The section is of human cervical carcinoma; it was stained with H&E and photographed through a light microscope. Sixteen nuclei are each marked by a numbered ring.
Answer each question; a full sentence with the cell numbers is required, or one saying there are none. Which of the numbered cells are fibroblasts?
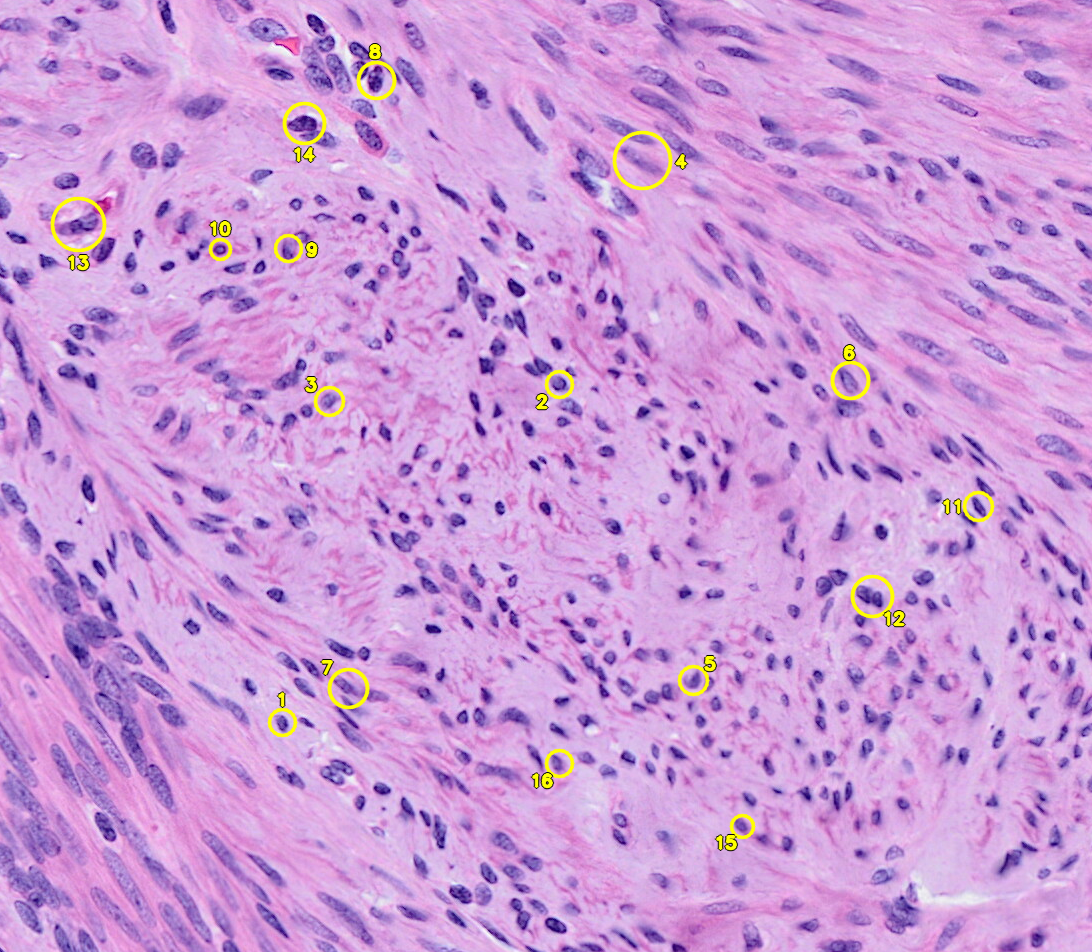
Regarding the numbered cells 1, 2, 11 and 12, these are fibroblasts.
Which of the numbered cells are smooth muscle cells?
On this slide, the cells numbered 3, 4, 5, 6, 7, 9, 10, 15 and 16 are smooth muscle cells.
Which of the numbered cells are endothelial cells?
Just one of the numbered cells is an endothelial cell, namely number 13.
